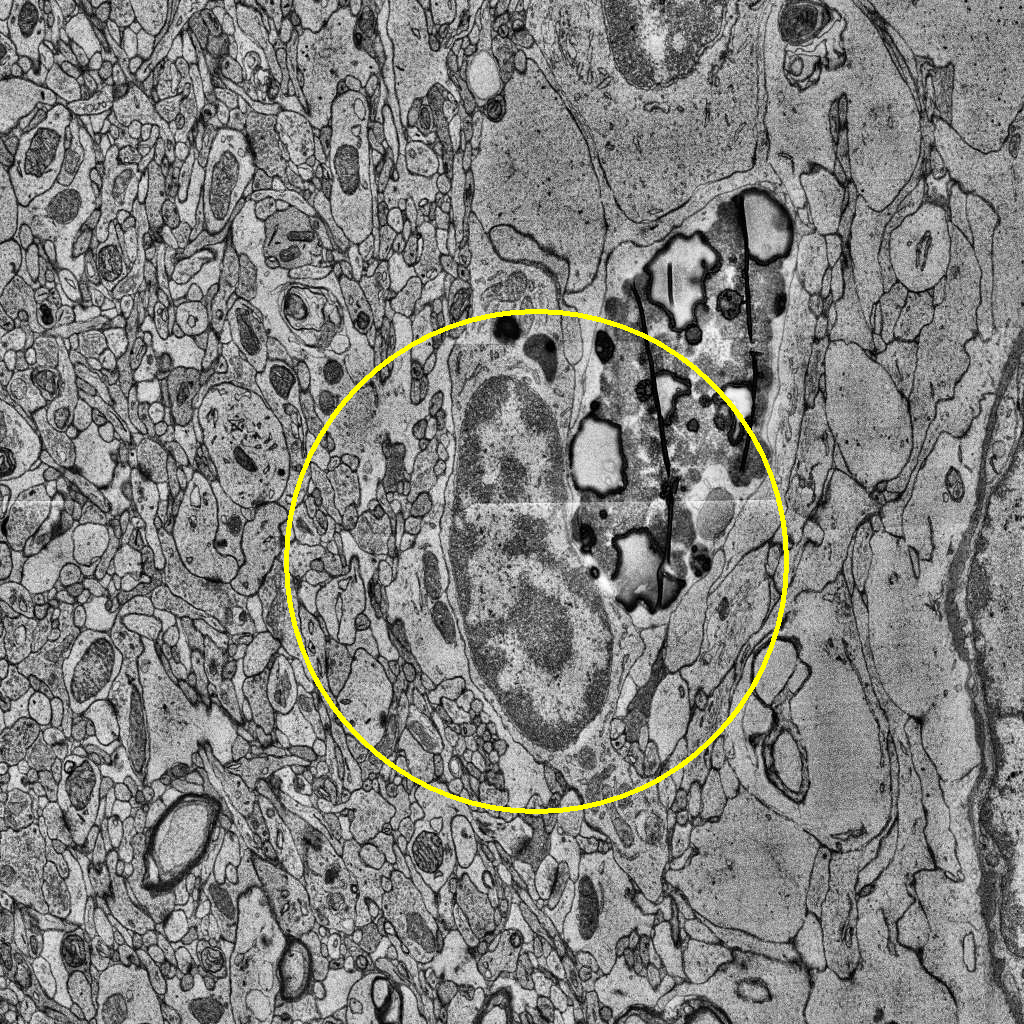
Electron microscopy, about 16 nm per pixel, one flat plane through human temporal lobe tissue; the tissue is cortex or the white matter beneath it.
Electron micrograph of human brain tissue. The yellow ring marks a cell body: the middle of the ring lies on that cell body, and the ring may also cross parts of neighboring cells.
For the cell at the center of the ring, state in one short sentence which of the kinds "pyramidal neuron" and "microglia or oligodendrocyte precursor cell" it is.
This ring's center lies on a microglial cell or oligodendrocyte precursor cell.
